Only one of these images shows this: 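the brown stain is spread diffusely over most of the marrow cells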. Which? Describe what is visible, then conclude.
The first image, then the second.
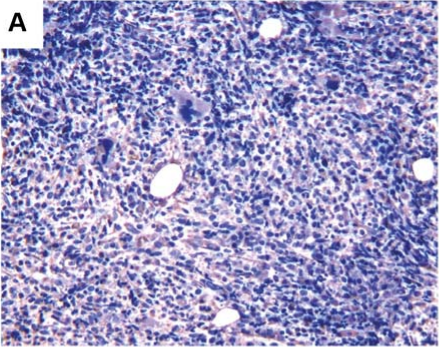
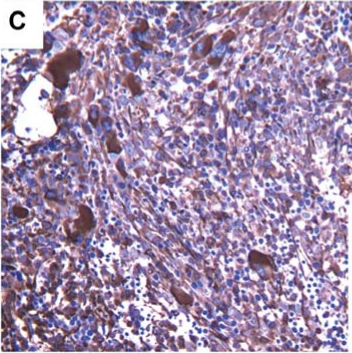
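Second image: most cells, including large ones, carry brown cytoplasmic stain. First image: the cells are mostly blue with only faint, scattered brown. The answer: the second image.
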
